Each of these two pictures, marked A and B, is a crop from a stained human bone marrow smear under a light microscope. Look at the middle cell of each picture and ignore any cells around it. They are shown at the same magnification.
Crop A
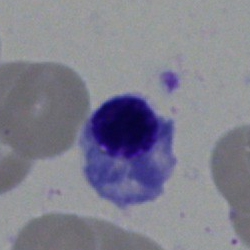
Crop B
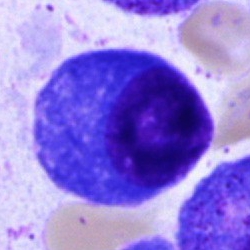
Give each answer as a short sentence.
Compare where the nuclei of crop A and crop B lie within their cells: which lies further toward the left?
It is the nucleus in crop A that lies further toward the left of its cell.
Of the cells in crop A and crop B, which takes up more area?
It is the cell in crop B, about 2.5 times as large in area as the cell in crop A.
